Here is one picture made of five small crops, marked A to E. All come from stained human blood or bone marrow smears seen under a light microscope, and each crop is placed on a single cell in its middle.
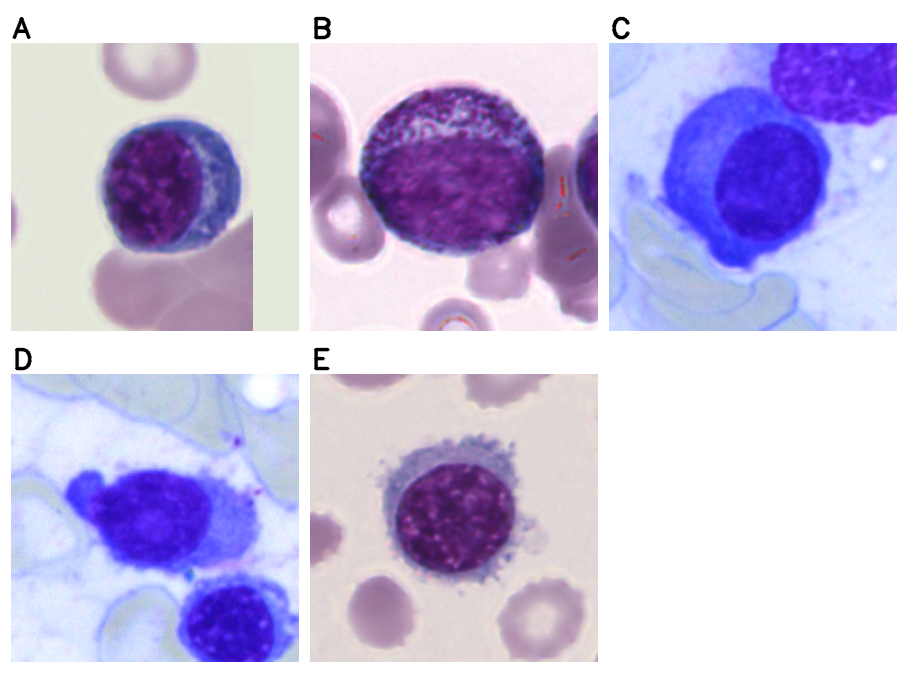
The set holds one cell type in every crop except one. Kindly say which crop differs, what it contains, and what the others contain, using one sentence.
The pattern of plasma cells across the crops is broken only by crop B, which shows a promyelocyte.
